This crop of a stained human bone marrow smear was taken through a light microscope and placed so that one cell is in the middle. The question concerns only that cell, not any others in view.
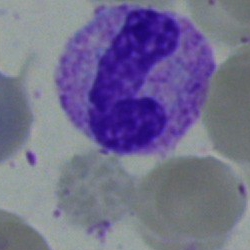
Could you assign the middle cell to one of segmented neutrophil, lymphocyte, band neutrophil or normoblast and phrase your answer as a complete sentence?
Here the cell in the middle is a band neutrophil.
